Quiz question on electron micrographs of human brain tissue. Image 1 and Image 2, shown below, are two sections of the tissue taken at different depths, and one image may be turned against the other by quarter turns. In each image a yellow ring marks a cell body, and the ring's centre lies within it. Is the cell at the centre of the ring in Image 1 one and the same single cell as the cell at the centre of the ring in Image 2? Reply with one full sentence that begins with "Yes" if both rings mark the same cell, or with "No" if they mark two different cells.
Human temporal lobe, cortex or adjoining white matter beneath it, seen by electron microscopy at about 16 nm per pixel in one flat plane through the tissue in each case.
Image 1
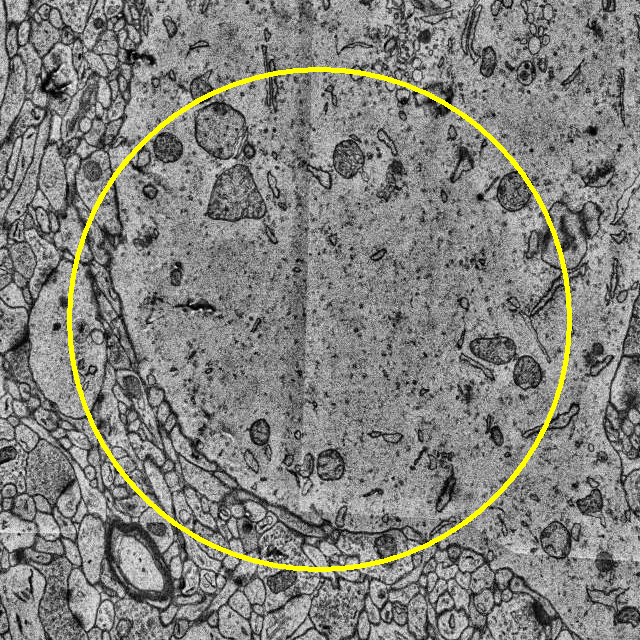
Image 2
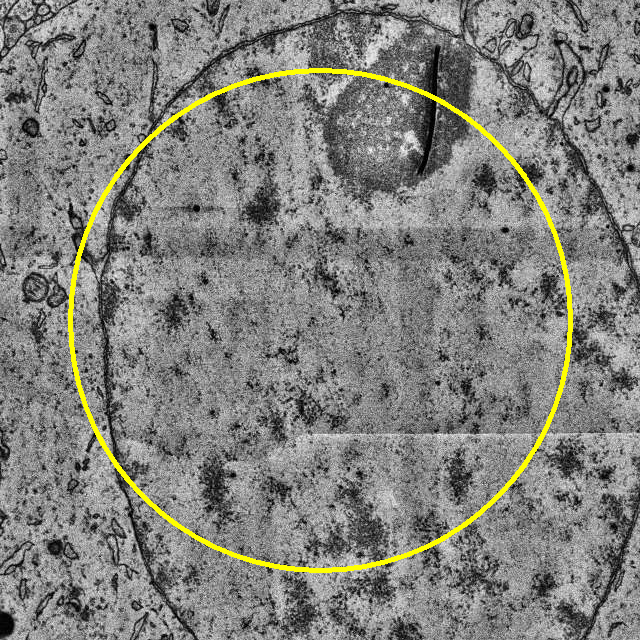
Yes, the second ring marks the same cell as the first.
